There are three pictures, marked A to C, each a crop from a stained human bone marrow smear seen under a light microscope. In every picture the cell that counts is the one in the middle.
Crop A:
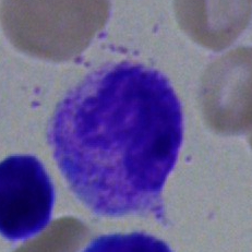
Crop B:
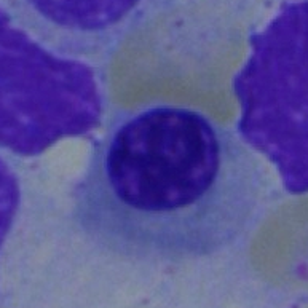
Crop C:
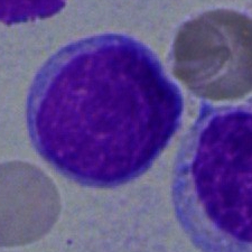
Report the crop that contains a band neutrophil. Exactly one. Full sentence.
The requested cell, a band neutrophil, is the one in crop A.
